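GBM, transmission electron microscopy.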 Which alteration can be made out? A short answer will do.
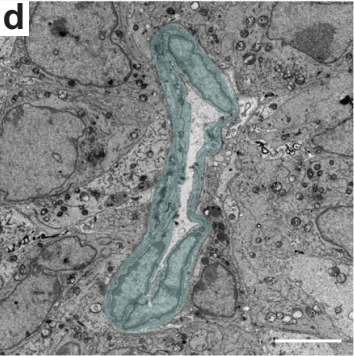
Compressed vessel lumens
